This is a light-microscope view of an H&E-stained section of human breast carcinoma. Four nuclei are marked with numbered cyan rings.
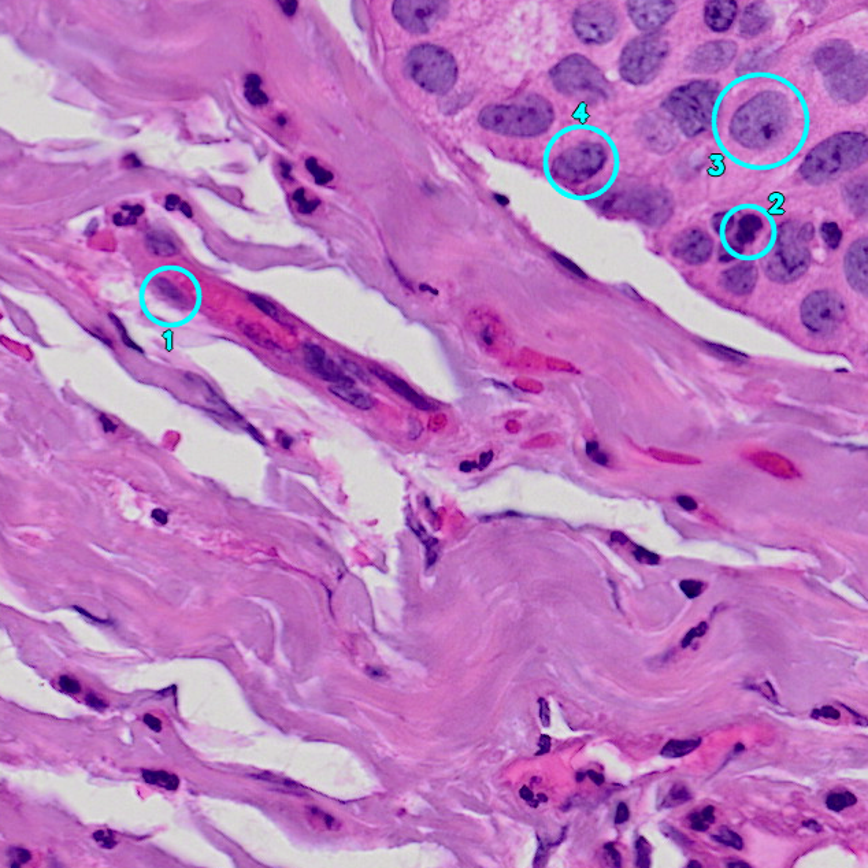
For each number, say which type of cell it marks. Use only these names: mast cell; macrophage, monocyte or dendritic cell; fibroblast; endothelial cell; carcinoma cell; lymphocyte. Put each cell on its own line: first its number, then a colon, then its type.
1: endothelial cell
2: carcinoma cell
3: carcinoma cell
4: carcinoma cell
